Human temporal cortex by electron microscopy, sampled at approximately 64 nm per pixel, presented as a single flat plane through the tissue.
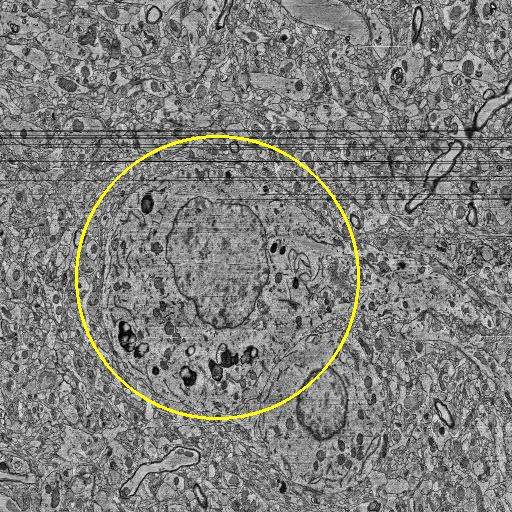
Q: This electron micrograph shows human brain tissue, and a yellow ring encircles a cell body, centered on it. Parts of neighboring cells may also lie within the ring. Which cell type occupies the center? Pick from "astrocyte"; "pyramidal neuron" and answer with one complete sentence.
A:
What sits at the ring's center in this micrograph is a pyramidal neuron, among those choices.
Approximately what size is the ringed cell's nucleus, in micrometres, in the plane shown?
About 9 micrometres by about 6 micrometres in this plane.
